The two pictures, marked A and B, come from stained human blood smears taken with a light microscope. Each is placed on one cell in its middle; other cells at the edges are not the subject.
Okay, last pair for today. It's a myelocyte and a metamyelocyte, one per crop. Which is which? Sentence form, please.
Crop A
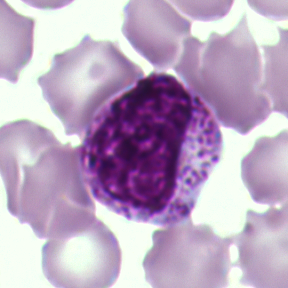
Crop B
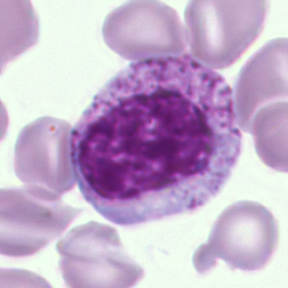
As for the pair, crop A is a metamyelocyte and crop B is a myelocyte.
